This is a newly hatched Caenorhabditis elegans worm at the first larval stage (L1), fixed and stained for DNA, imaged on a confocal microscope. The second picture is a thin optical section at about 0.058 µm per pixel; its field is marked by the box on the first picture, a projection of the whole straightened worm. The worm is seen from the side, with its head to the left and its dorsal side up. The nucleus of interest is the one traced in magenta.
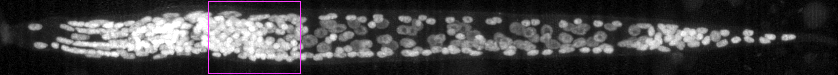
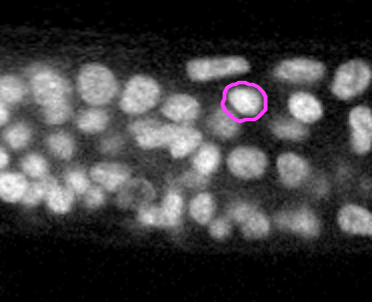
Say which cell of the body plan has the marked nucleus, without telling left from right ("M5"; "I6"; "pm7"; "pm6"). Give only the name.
I6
